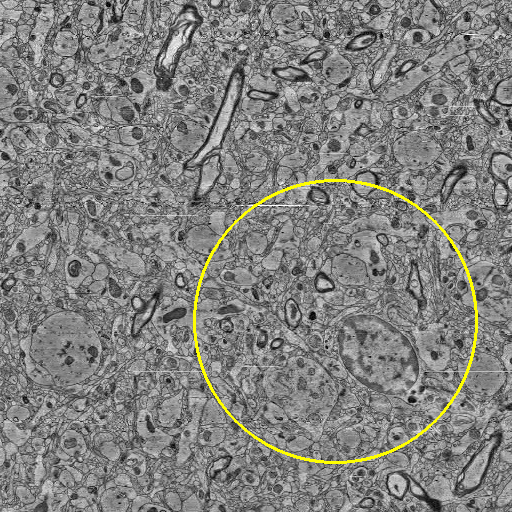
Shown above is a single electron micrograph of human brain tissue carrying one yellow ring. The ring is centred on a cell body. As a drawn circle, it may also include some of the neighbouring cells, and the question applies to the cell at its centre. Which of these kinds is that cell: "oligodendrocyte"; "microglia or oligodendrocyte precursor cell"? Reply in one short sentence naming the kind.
The cell marked by the ring is a microglial cell or oligodendrocyte precursor cell.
